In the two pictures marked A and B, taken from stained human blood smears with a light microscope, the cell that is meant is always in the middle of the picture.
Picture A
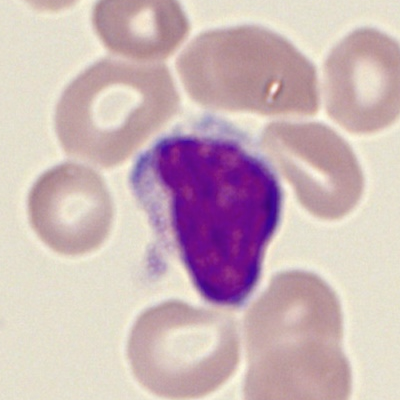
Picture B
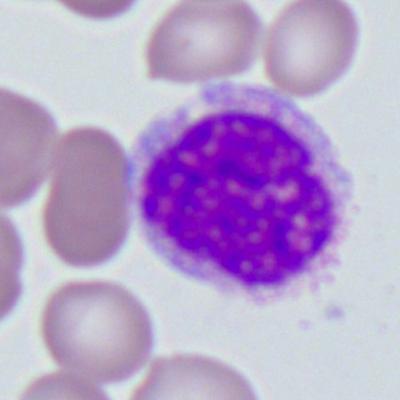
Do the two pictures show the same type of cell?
no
